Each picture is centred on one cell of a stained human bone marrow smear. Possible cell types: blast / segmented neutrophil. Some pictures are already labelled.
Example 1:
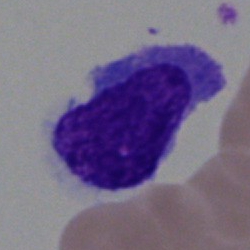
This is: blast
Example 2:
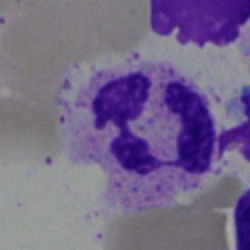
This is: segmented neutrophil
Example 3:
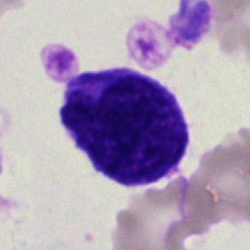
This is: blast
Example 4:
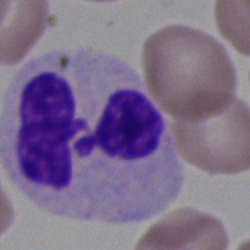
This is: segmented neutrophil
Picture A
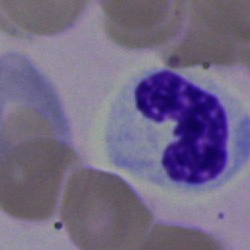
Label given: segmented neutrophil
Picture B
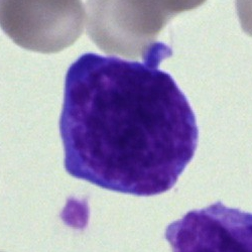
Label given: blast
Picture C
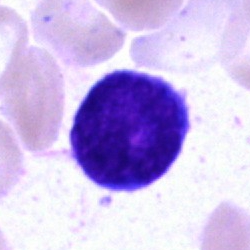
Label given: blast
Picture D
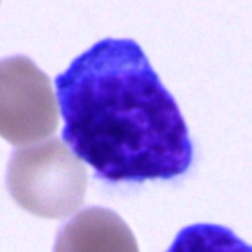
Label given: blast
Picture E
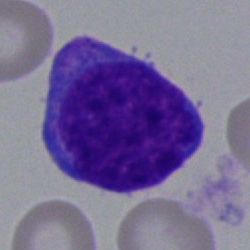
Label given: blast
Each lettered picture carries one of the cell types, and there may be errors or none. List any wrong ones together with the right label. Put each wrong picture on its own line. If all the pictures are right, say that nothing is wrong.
None of the labels needs changing.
